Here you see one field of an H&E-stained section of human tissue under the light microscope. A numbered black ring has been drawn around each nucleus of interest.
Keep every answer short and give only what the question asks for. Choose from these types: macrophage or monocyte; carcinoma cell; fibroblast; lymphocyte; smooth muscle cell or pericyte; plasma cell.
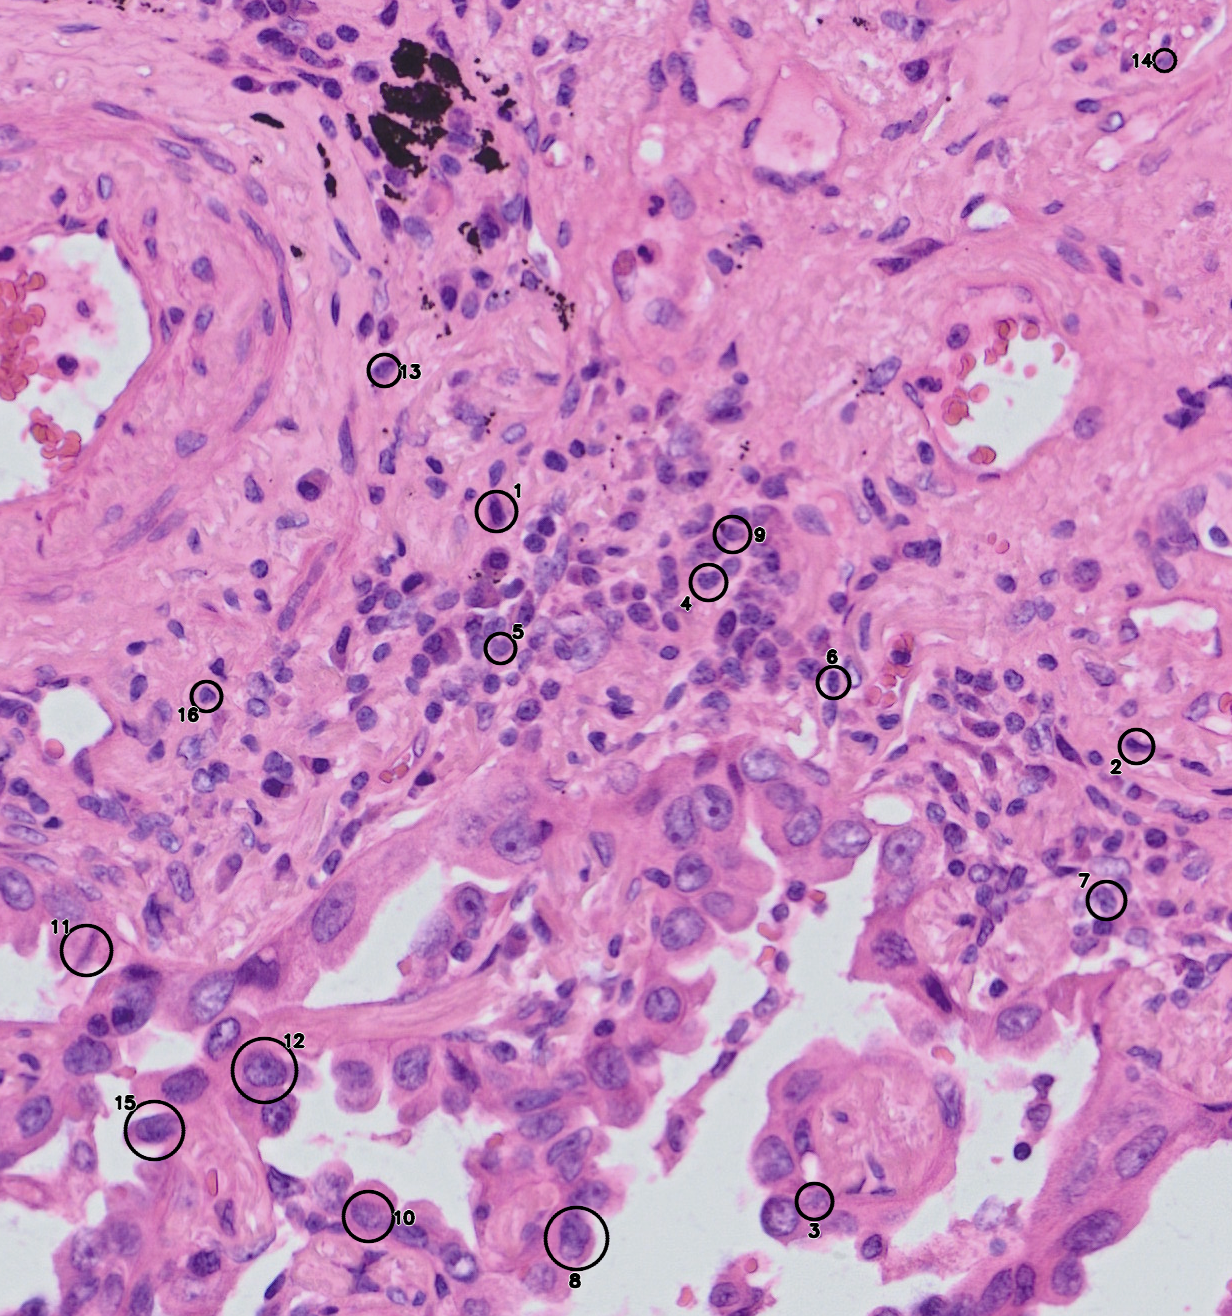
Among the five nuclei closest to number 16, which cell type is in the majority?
fibroblast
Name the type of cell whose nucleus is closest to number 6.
fibroblast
